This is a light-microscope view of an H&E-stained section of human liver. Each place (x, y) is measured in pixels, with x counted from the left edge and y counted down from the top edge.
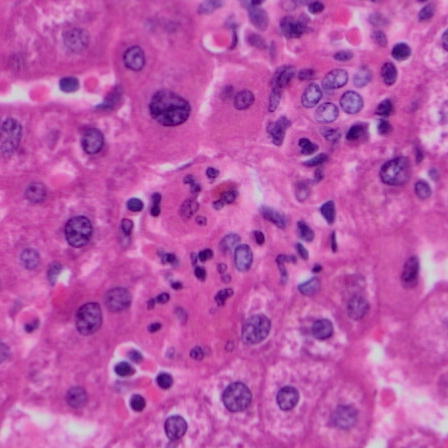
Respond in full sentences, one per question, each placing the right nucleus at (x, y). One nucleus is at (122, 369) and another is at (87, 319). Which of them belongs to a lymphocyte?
The nucleus whose cell is a lymphocyte is the one at (122, 369).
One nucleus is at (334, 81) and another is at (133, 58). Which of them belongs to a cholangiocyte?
The nucleus at position (334, 81) belongs to a cholangiocyte.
